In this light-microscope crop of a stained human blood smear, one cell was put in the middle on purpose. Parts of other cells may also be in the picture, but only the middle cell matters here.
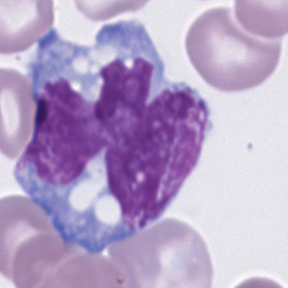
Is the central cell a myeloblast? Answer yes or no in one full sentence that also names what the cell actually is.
No, what the centre of the crop shows is a monocyte, not a myeloblast.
